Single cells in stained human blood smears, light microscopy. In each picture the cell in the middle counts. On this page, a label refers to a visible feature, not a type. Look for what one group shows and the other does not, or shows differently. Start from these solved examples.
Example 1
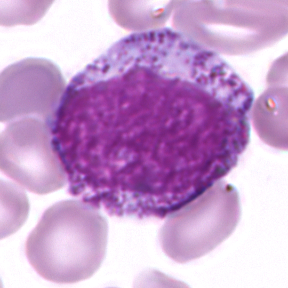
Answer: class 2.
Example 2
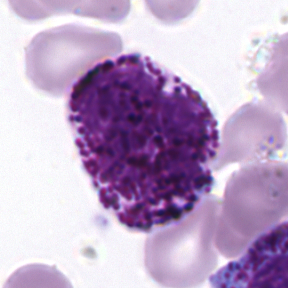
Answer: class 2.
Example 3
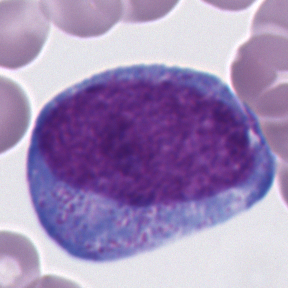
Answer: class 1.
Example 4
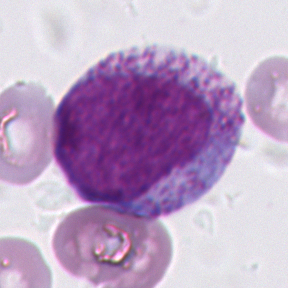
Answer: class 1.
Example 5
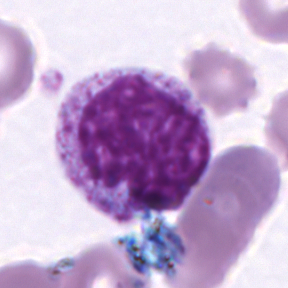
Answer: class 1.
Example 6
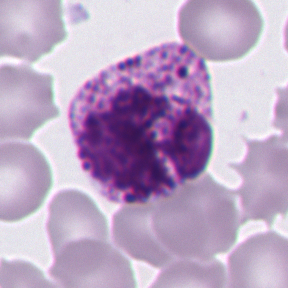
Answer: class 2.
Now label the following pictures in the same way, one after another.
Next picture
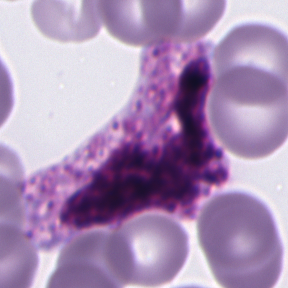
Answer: class 1.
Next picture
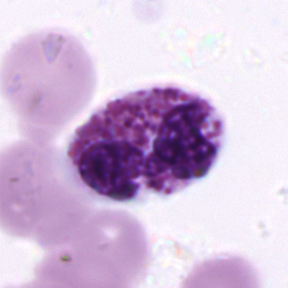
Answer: class 2.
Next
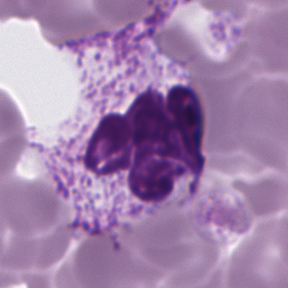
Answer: class 2.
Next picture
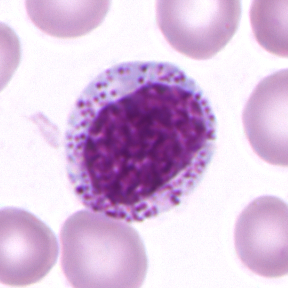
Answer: class 1.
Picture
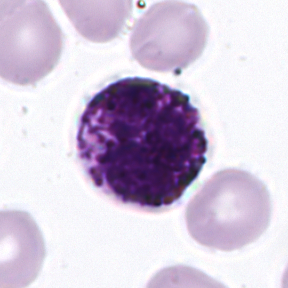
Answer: class 2.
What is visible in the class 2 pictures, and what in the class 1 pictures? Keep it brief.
class 2: coarse or large granules; class 1: fine or small granules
